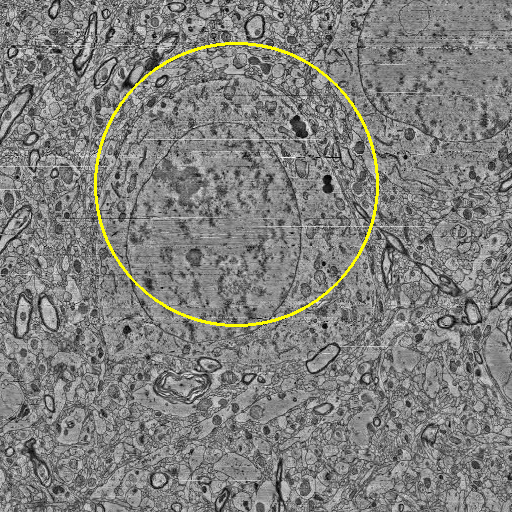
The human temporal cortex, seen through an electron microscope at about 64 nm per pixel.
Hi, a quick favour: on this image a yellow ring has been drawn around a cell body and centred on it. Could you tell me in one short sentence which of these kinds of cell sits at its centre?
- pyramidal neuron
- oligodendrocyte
The ring is centred on a pyramidal neuron.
